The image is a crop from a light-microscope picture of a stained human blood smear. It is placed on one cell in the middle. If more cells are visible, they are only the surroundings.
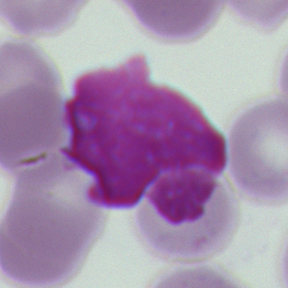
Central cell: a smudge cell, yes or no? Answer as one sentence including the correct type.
Yes, the cell at the centre of the field is a smudge cell.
